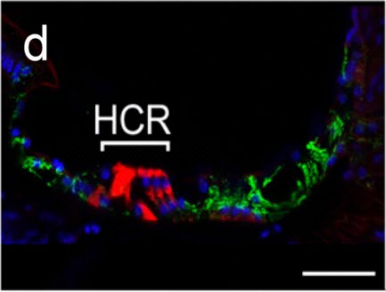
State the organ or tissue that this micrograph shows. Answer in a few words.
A: Organ of Corti.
